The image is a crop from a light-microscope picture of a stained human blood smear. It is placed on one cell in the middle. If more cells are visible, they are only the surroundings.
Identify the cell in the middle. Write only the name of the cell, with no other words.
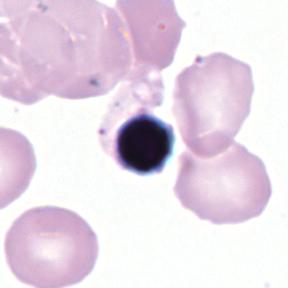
erythroblast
